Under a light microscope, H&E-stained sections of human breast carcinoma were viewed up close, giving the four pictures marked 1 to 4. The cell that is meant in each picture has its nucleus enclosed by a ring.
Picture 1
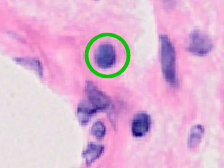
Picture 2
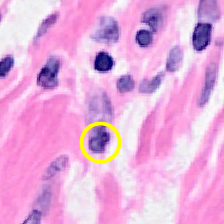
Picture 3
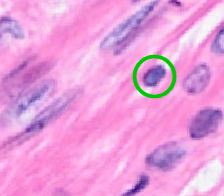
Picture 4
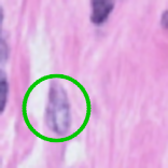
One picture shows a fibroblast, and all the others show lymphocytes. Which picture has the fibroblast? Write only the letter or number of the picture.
4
